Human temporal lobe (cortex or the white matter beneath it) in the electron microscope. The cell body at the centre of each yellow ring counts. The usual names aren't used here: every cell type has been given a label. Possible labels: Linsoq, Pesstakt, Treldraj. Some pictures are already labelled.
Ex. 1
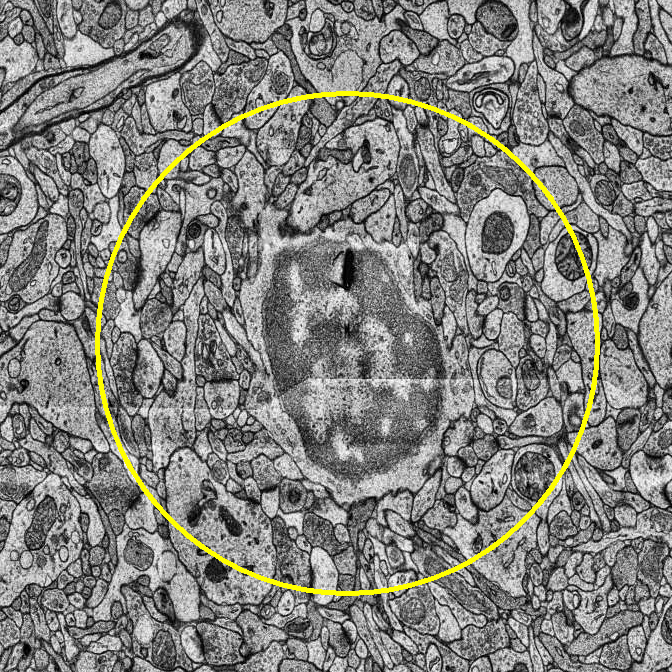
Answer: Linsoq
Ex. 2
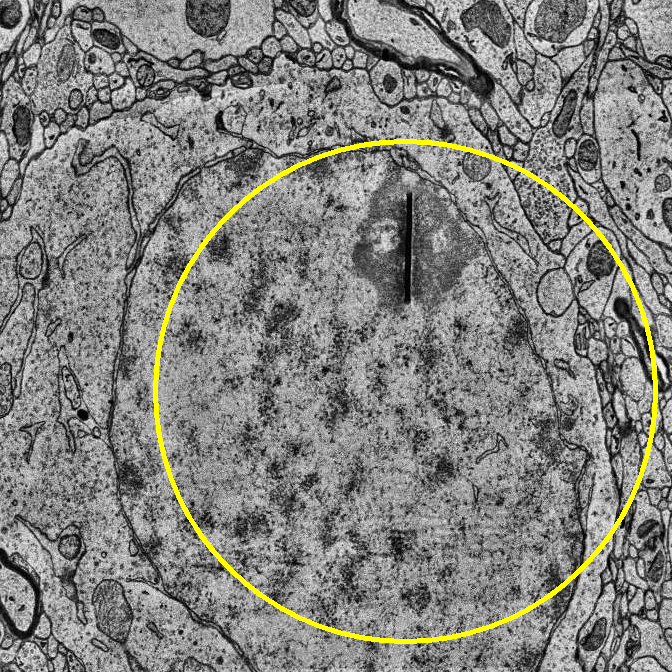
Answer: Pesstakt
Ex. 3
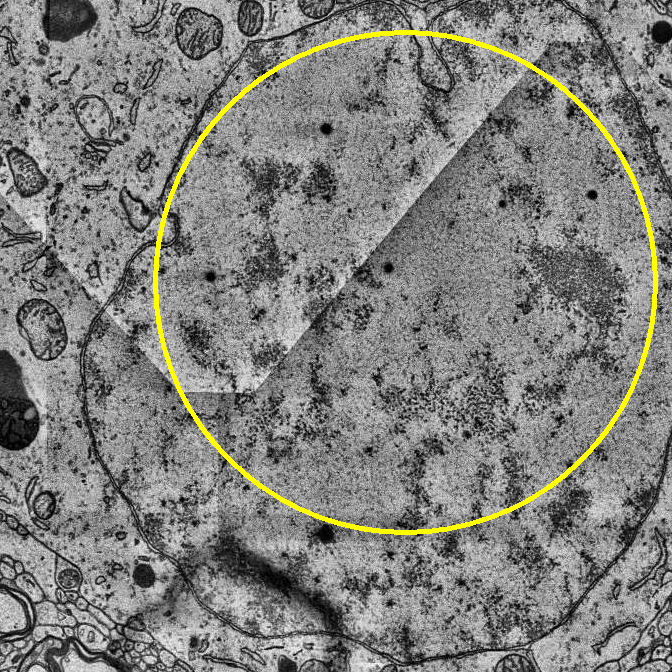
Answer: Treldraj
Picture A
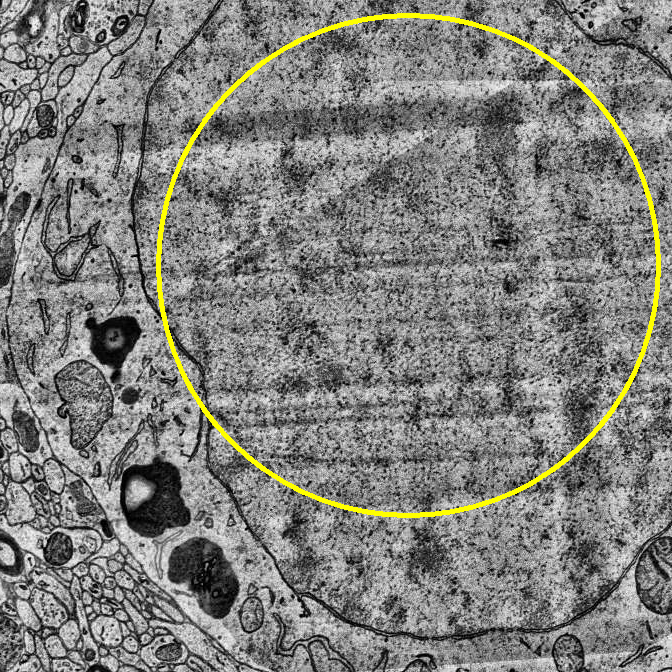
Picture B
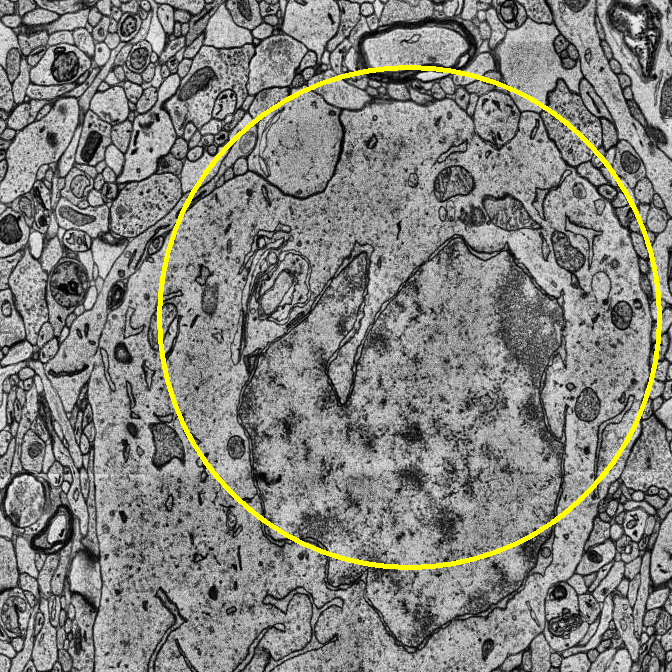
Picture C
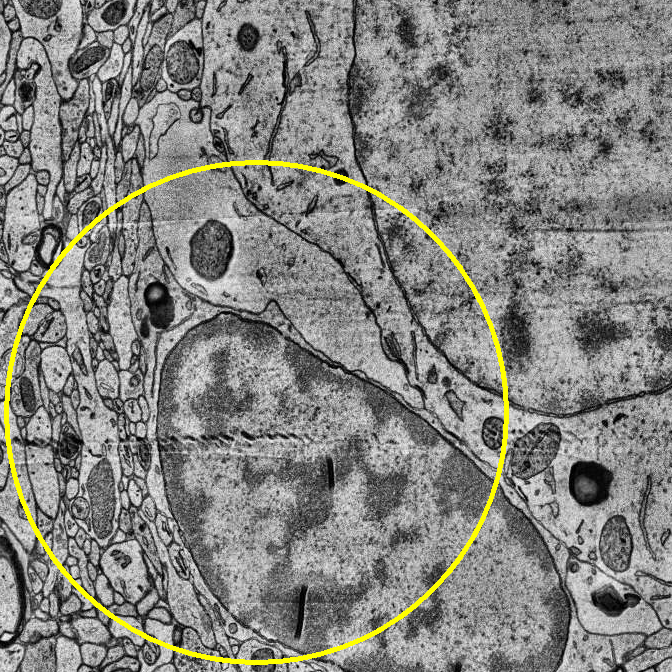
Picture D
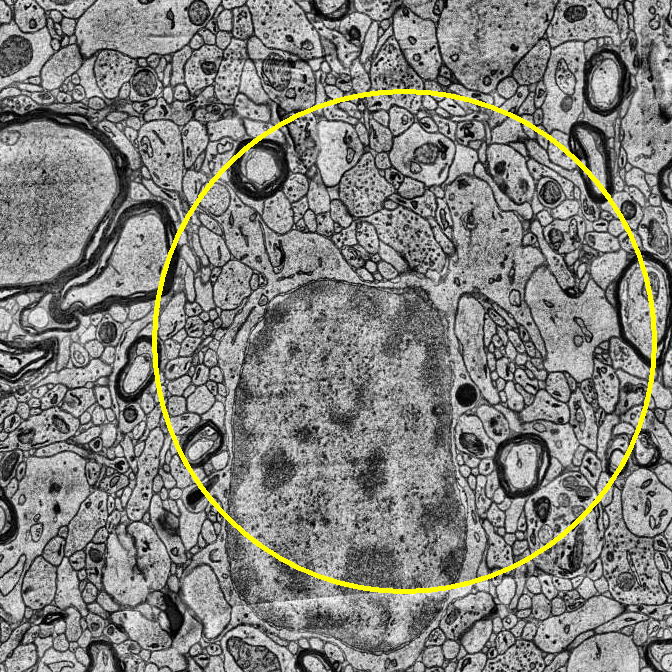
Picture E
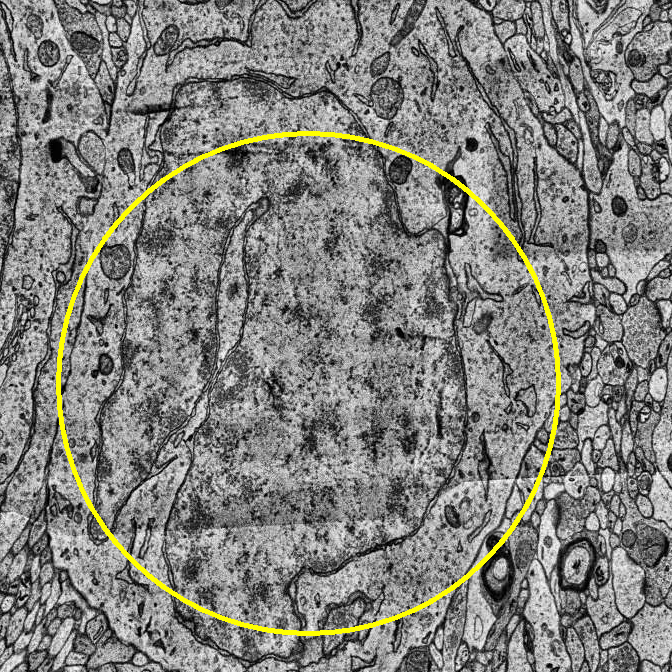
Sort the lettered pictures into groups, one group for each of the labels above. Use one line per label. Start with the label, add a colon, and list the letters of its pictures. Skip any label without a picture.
Linsoq: C, D
Pesstakt: B, E
Treldraj: A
